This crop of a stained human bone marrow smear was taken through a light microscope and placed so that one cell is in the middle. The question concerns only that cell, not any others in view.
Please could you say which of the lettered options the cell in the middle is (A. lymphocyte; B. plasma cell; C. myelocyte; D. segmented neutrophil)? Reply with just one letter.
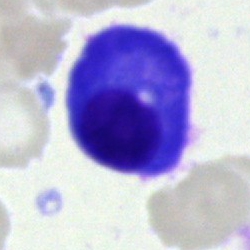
B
